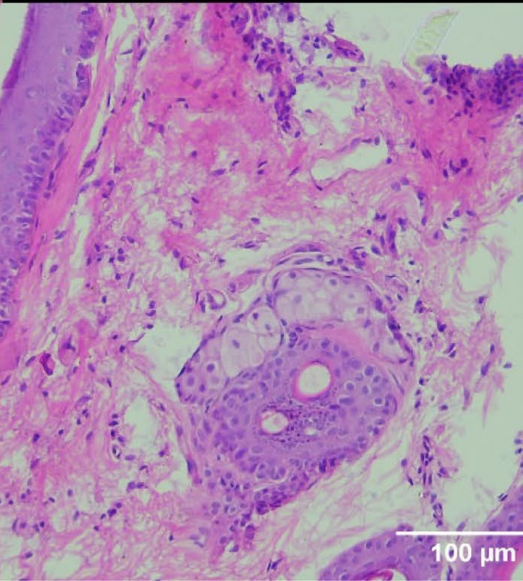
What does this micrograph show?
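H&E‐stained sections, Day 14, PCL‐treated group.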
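A healing wound with a stratified epithelium along one edge and a loose, pink extracellular matrix beneath it, in which scattered cells with spindle-shaped and oval purple nuclei lie. Within the matrix sits a rounded nest of epithelial cells with purple nuclei, some of them large and pale with clear, bubbly cytoplasm. Small clusters of darker, denser nuclei gather near the upper edge of the section.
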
